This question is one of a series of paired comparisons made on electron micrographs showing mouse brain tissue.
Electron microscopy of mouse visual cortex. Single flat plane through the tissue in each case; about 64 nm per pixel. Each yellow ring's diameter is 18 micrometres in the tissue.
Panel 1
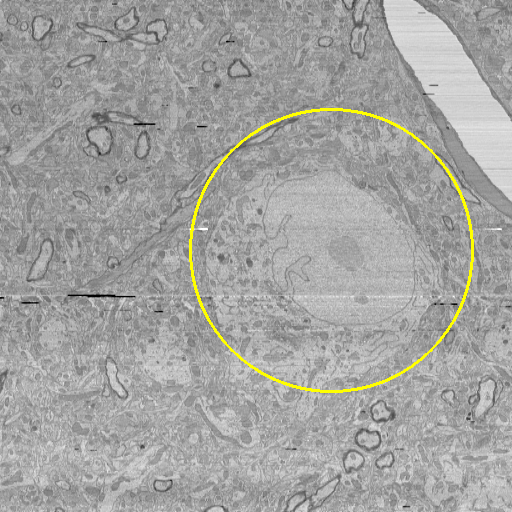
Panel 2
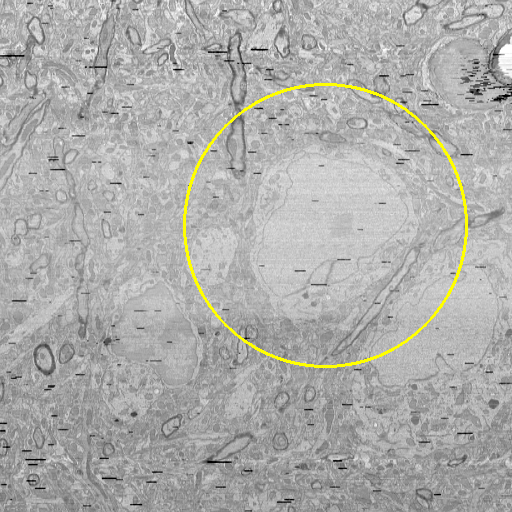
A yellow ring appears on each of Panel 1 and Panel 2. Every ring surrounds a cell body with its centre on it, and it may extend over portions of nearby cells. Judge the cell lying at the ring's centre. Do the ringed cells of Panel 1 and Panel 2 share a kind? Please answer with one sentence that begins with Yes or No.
Yes, the ring-centre cell in Panel 1 and the one in Panel 2 are of one kind.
